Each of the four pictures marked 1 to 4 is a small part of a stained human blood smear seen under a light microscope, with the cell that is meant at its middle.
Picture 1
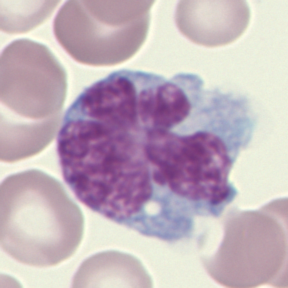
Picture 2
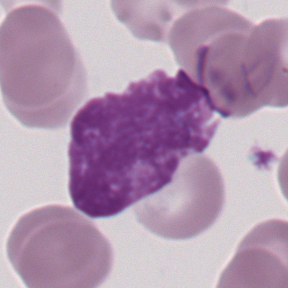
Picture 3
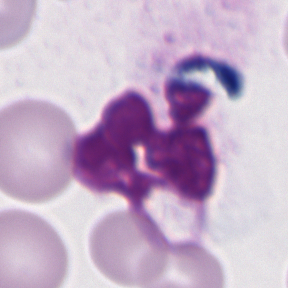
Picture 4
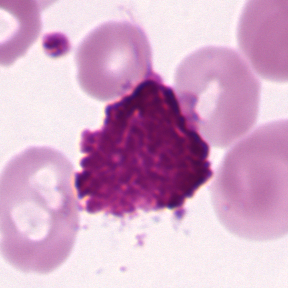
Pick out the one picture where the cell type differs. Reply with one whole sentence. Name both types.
All pictures except 1 show smudge cells; picture 1 shows a myeloblast.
